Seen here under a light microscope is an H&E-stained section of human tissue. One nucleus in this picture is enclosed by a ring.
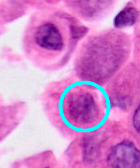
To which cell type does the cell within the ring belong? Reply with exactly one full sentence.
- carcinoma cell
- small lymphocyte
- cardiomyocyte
Within this tissue, the cell within the ring is a carcinoma cell.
